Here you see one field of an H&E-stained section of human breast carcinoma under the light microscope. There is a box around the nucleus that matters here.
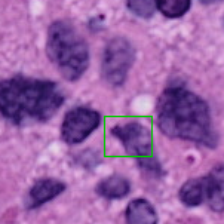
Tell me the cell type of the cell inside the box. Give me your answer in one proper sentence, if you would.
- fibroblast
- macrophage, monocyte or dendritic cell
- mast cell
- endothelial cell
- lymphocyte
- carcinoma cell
In terms of identity, the cell inside the box is a carcinoma cell.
